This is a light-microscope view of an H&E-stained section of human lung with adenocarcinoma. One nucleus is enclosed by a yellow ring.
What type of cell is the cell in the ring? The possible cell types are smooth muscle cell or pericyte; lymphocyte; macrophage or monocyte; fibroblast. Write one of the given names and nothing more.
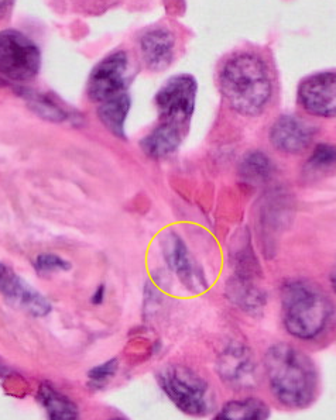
fibroblast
